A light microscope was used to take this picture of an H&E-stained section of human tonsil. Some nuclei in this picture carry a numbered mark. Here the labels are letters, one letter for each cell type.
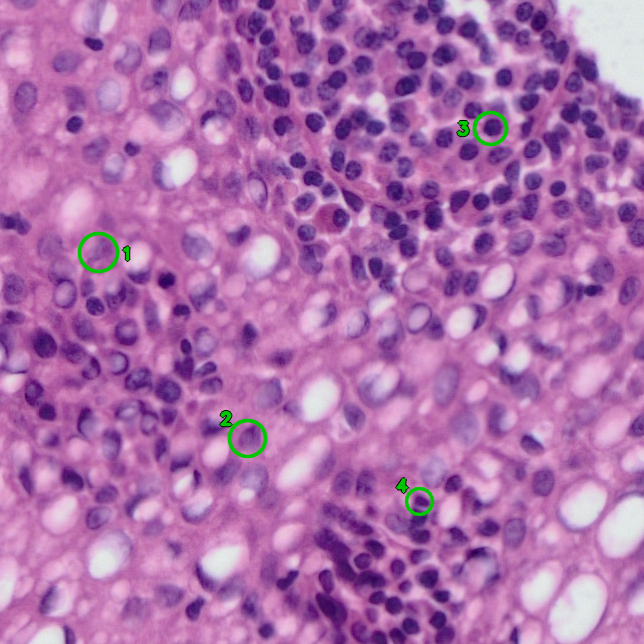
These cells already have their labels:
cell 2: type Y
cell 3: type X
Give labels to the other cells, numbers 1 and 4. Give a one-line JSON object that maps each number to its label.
{"1": "type Y", "4": "type Y"}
